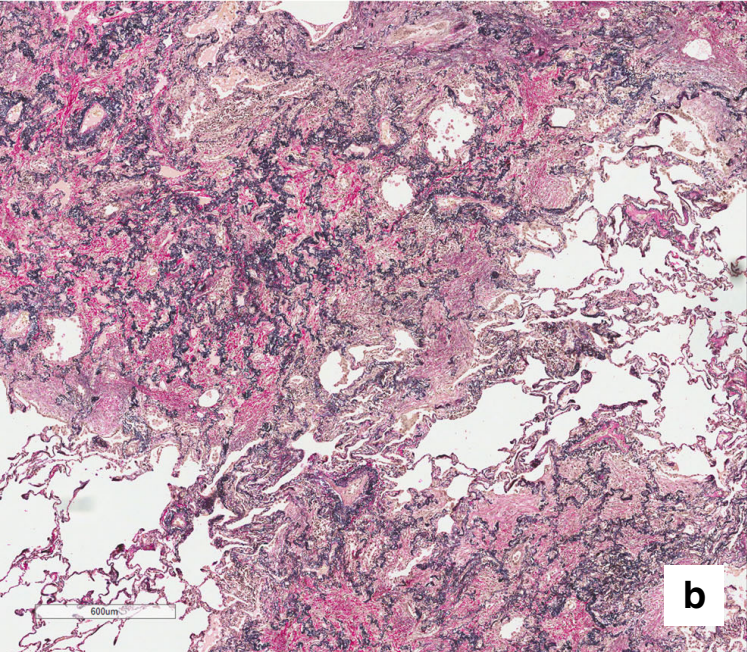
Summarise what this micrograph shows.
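This lung tissue shows intraalveolar fibrosis and interstitial elastosis. Across most of the field, the alveolar spaces are collapsed and filled with pale pink fibrous tissue. Dense dark purple-black fibres outline the old alveolar walls within this tissue, and bright pink collagen bands lie between them.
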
